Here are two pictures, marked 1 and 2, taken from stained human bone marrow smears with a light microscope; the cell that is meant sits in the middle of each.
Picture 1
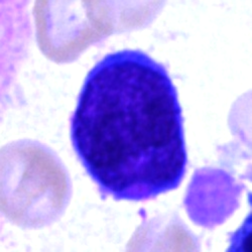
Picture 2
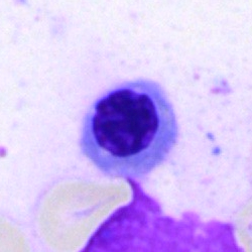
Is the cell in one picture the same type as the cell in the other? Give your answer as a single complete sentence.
No. Picture 1 shows a blast, but picture 2 shows an erythroblast.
